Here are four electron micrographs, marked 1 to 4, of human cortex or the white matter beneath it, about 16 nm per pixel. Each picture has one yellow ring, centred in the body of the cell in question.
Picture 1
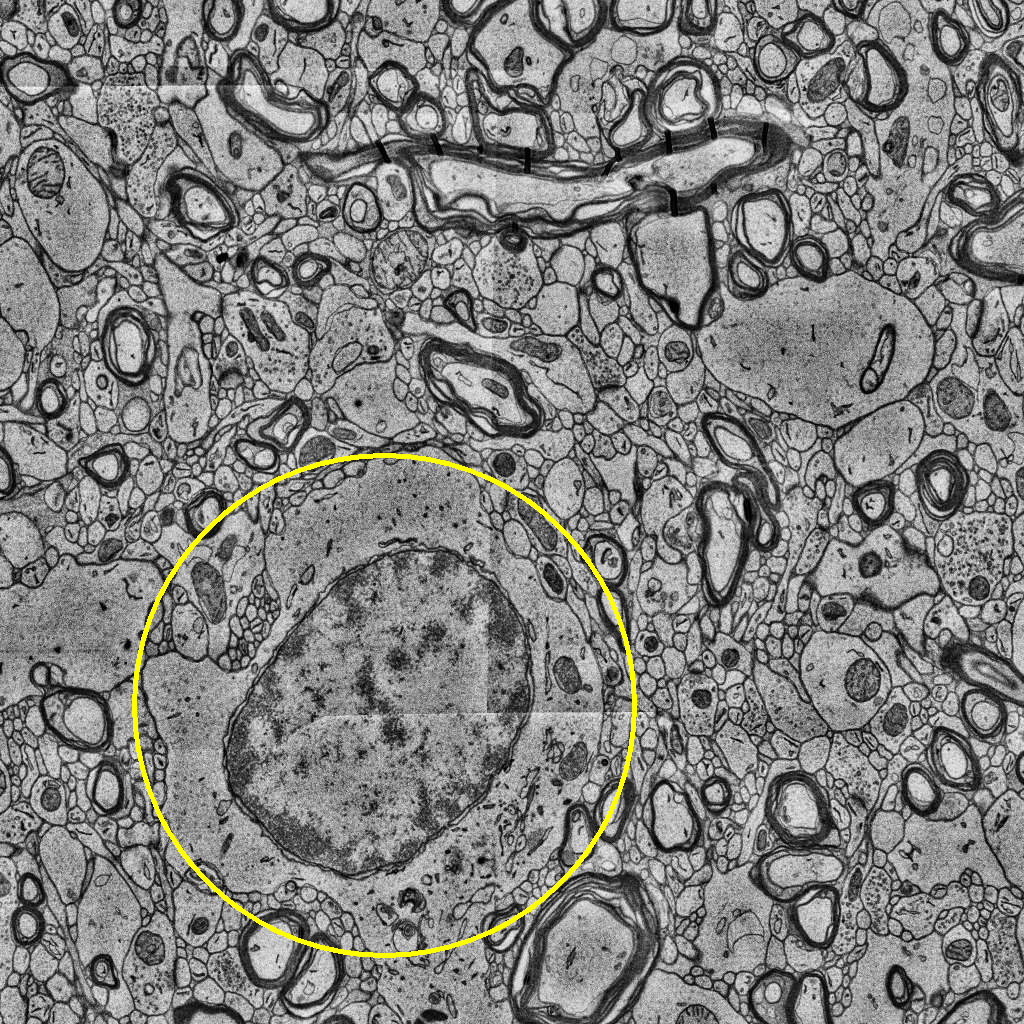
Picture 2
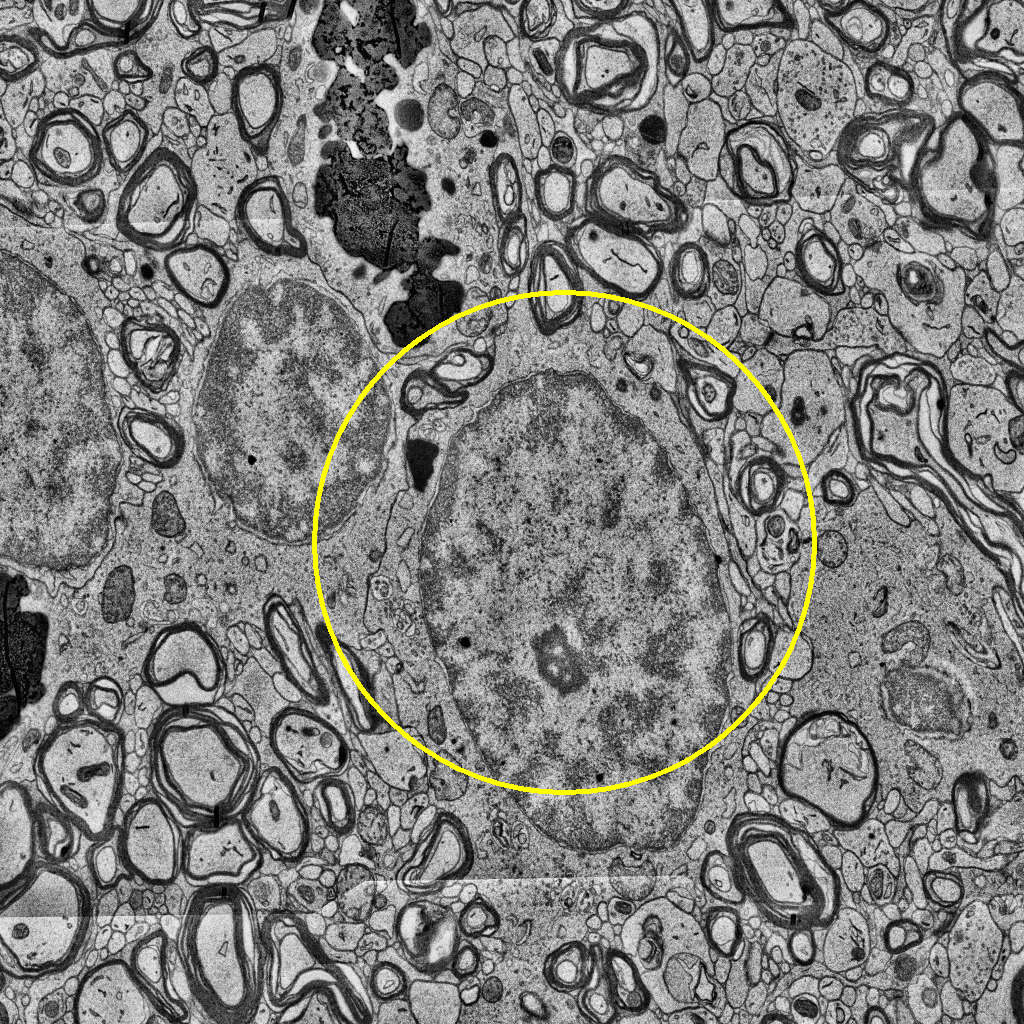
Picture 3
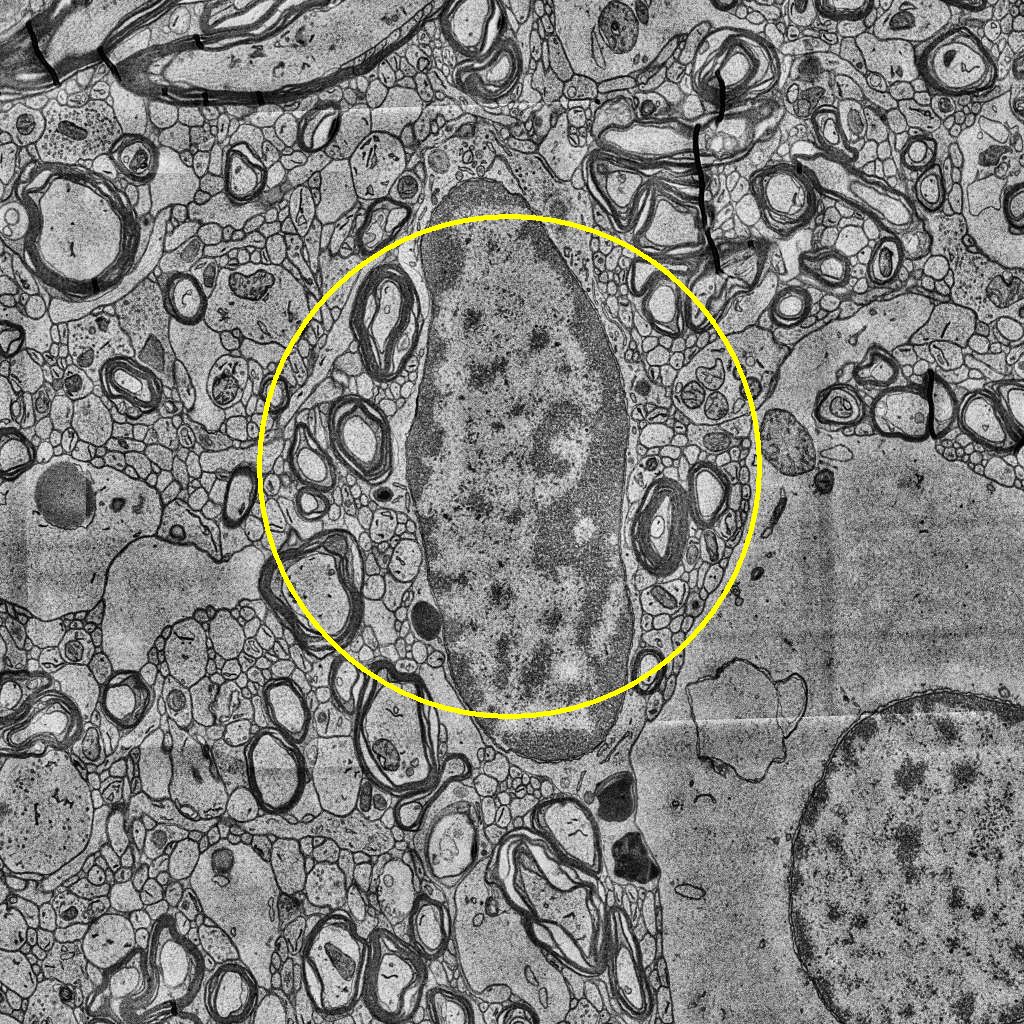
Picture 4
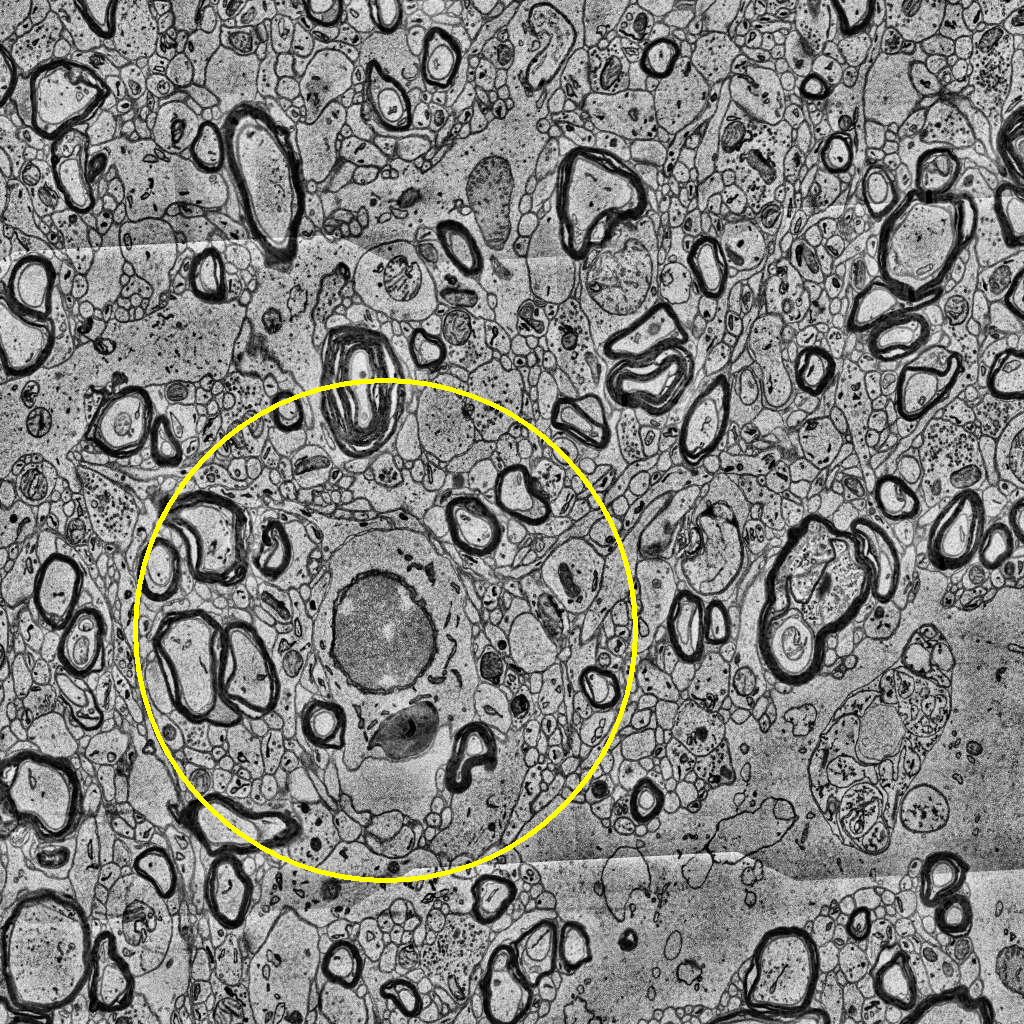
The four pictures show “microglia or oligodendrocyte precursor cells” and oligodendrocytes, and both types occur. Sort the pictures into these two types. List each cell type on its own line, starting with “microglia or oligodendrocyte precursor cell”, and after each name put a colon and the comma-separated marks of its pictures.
microglia or oligodendrocyte precursor cell: 1, 3, 4
oligodendrocyte: 2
